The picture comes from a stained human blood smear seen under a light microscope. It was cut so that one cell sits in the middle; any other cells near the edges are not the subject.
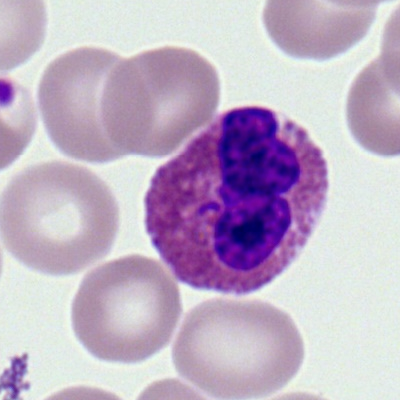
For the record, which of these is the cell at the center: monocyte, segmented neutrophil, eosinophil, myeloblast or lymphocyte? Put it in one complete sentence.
The centered cell in this crop is an eosinophil.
